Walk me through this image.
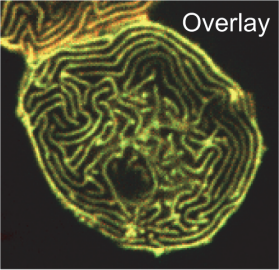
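Ridges near the cell margin run roughly parallel to the edge in concentric arcs, while those in the interior wind and branch in a maze-like pattern. A brighter continuous line traces the cell border. A small dark round area lacking ridges lies within the cell. Part of a neighbouring cell shows at the upper left corner.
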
